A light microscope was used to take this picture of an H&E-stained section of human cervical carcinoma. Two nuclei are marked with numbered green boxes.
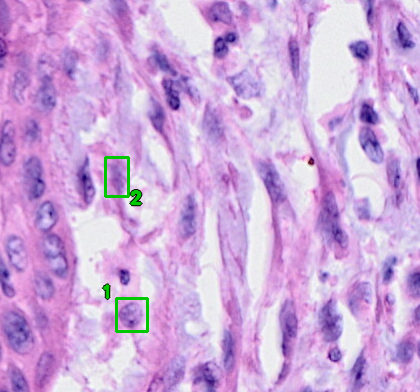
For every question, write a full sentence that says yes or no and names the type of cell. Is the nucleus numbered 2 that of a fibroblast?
Yes, the cell with the mark numbered 2 is a fibroblast.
